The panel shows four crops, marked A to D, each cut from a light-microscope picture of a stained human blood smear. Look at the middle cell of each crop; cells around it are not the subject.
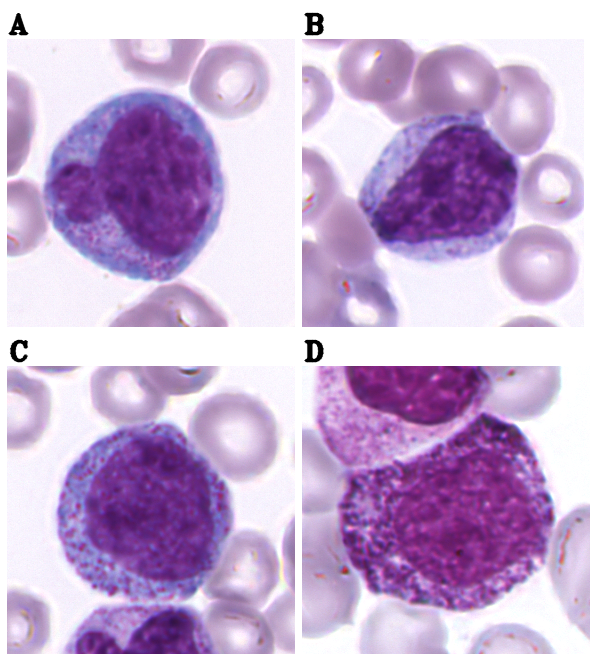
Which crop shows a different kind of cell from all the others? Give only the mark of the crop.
B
